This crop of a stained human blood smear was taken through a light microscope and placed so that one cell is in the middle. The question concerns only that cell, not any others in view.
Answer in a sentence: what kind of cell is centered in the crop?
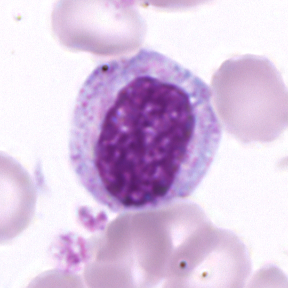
Located at the centre of the crop is a myelocyte.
